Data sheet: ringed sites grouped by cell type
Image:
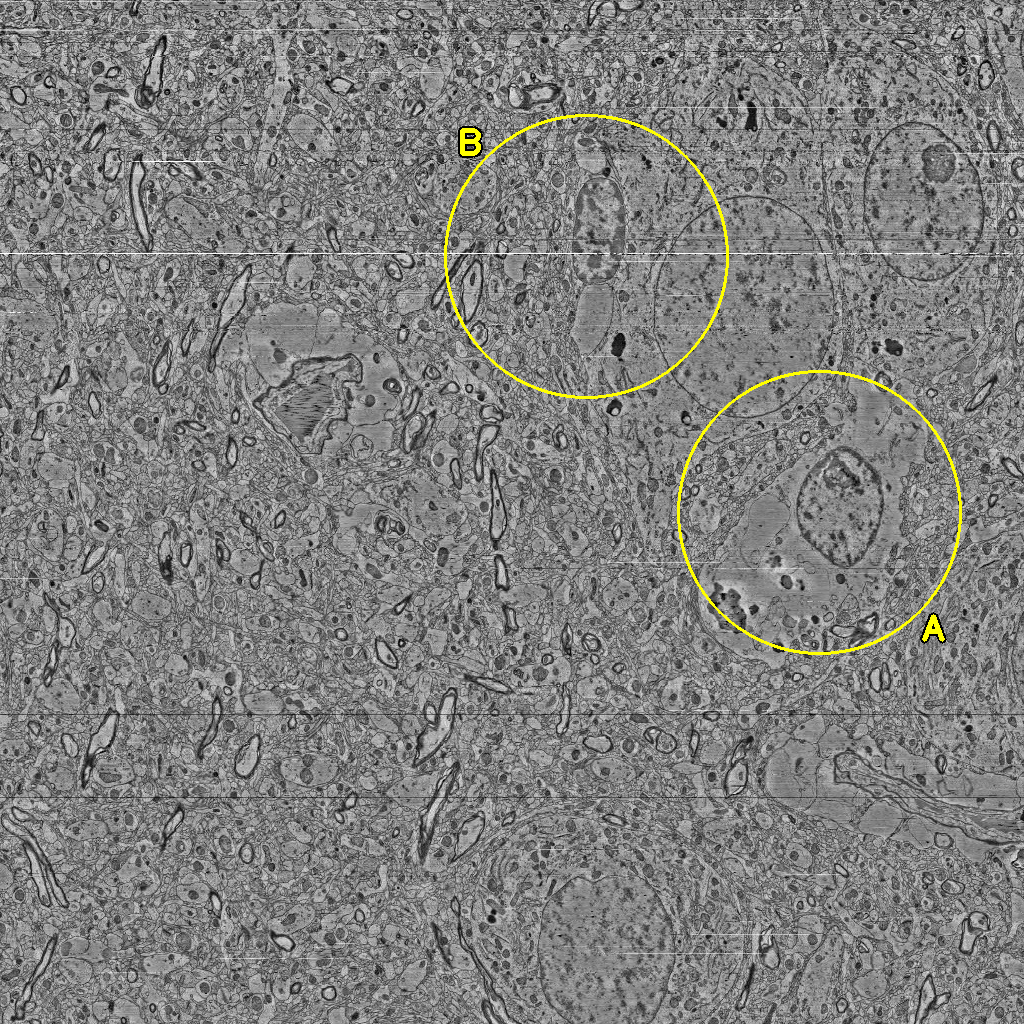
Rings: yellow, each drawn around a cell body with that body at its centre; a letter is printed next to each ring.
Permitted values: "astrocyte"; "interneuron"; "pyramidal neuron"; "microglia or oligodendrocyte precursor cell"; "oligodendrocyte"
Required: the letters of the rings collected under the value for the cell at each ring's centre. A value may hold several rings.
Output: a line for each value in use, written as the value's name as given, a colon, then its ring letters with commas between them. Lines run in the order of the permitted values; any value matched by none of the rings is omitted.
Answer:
astrocyte: A
microglia or oligodendrocyte precursor cell: B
